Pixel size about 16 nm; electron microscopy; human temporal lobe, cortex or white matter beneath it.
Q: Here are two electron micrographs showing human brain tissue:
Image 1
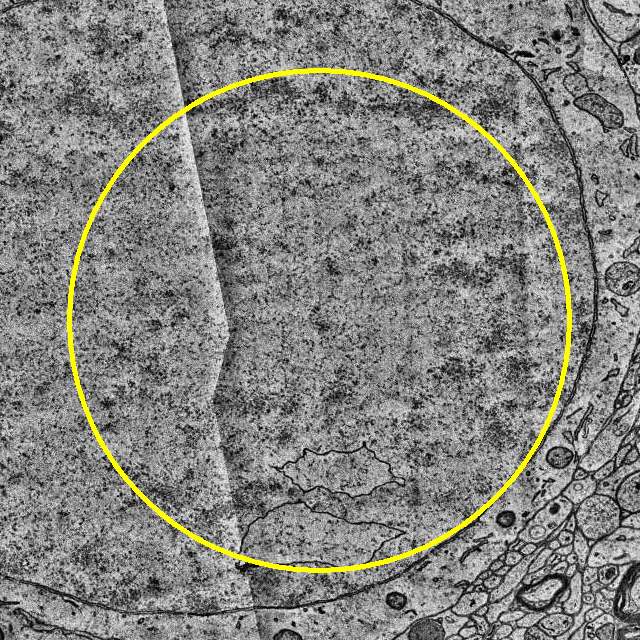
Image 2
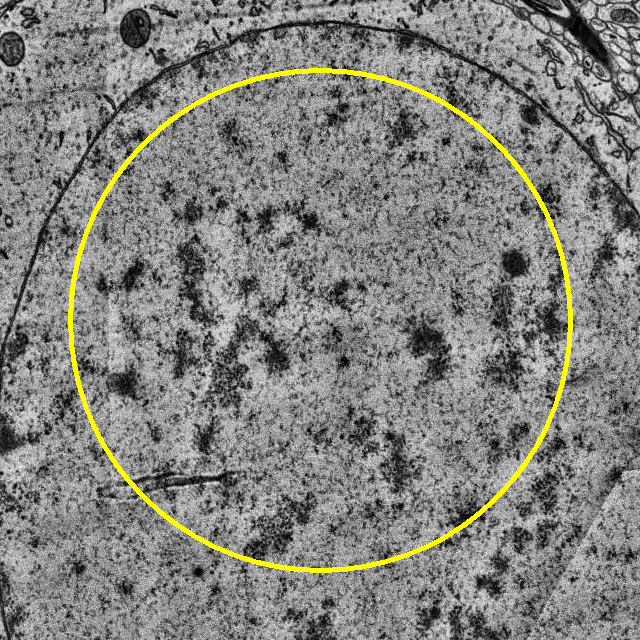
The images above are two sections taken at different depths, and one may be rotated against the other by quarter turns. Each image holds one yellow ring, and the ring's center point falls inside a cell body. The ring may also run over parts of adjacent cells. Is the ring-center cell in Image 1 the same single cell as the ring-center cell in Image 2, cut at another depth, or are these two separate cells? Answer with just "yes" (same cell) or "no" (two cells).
yes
